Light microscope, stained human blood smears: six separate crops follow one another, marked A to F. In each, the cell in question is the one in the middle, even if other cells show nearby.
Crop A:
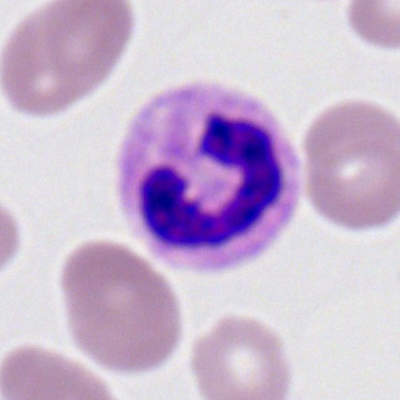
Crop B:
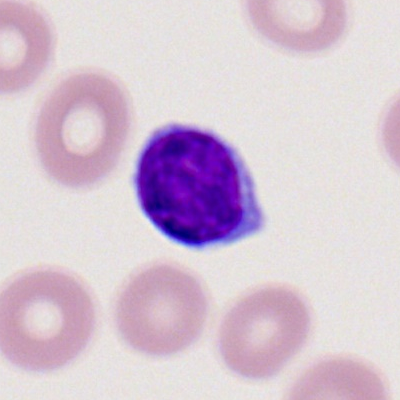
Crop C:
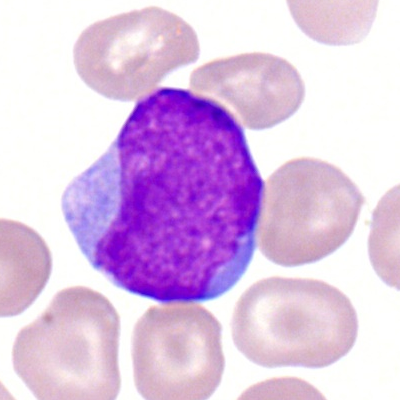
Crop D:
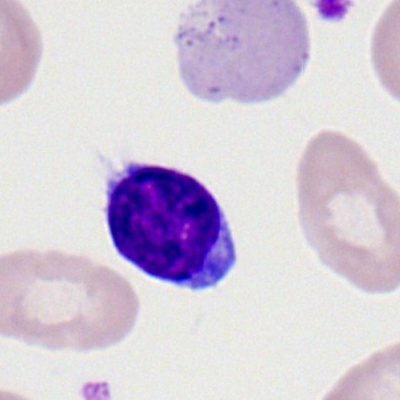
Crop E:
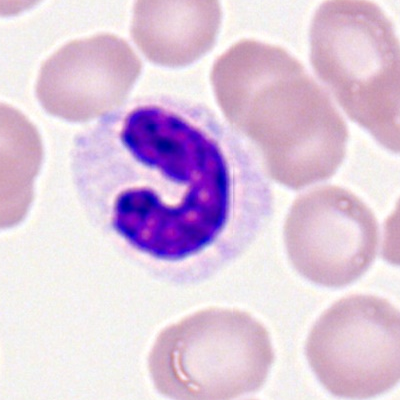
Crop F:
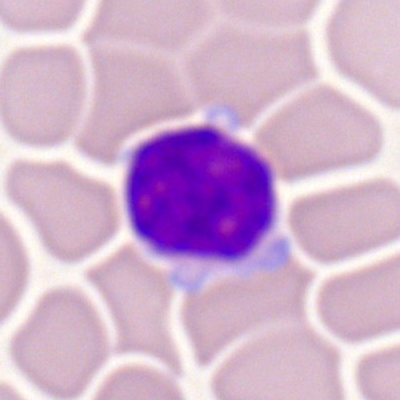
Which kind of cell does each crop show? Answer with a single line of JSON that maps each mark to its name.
{"A": "band neutrophil", "B": "lymphocyte", "C": "myeloblast", "D": "lymphocyte", "E": "band neutrophil", "F": "lymphocyte"}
